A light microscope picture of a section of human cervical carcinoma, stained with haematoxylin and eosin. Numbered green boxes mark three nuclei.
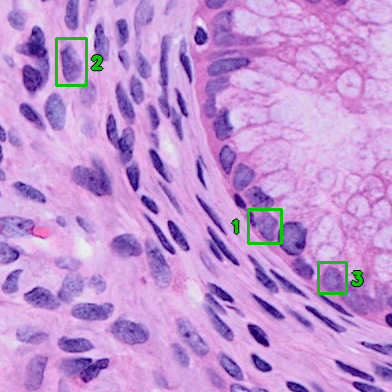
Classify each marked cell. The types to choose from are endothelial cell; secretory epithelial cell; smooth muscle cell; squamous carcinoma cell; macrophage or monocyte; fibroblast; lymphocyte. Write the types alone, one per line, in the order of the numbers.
secretory epithelial cell
fibroblast
secretory epithelial cell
